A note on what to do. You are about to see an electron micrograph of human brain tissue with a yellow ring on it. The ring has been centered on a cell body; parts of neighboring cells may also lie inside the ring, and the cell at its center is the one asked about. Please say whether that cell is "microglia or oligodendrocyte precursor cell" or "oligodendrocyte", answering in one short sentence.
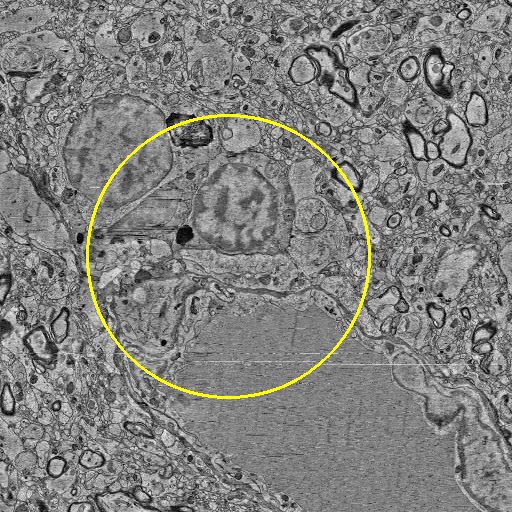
The yellow ring sits on an oligodendrocyte.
